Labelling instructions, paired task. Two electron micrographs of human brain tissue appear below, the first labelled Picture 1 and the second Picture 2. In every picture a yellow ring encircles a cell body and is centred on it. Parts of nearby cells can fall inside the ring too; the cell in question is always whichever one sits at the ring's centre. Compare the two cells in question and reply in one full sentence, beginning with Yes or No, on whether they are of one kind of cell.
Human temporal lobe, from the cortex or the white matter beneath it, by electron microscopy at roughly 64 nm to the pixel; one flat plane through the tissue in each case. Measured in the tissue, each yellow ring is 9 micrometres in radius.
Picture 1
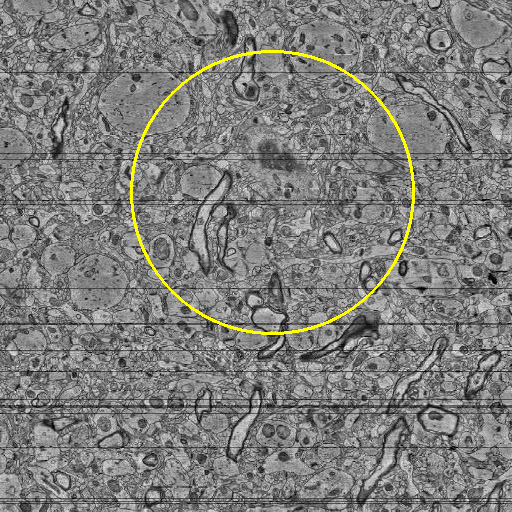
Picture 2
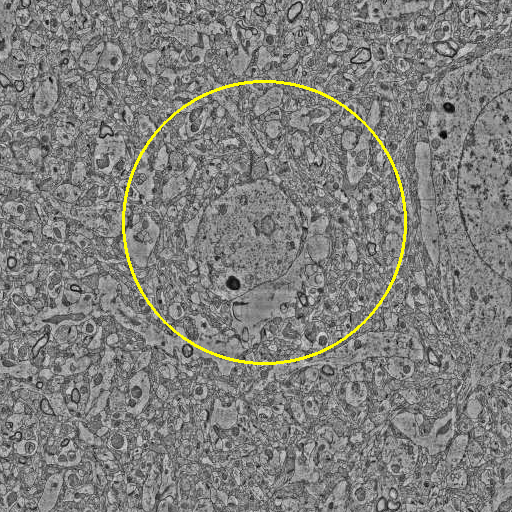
No, the two cells at the ring centres in Picture 1 and Picture 2 are of two kinds.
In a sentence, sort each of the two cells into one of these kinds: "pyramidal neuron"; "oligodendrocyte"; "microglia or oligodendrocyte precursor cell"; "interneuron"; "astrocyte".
The first of the two cells is an oligodendrocyte, and the second is a pyramidal neuron.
